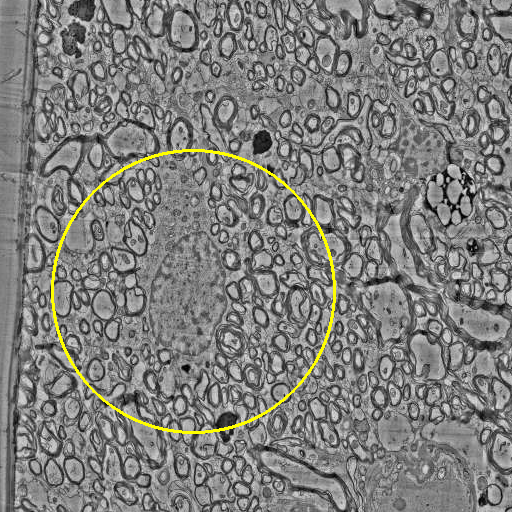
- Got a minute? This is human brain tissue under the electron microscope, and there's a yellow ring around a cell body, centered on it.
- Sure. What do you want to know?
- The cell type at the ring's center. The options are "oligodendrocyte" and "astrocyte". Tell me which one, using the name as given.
oligodendrocyte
